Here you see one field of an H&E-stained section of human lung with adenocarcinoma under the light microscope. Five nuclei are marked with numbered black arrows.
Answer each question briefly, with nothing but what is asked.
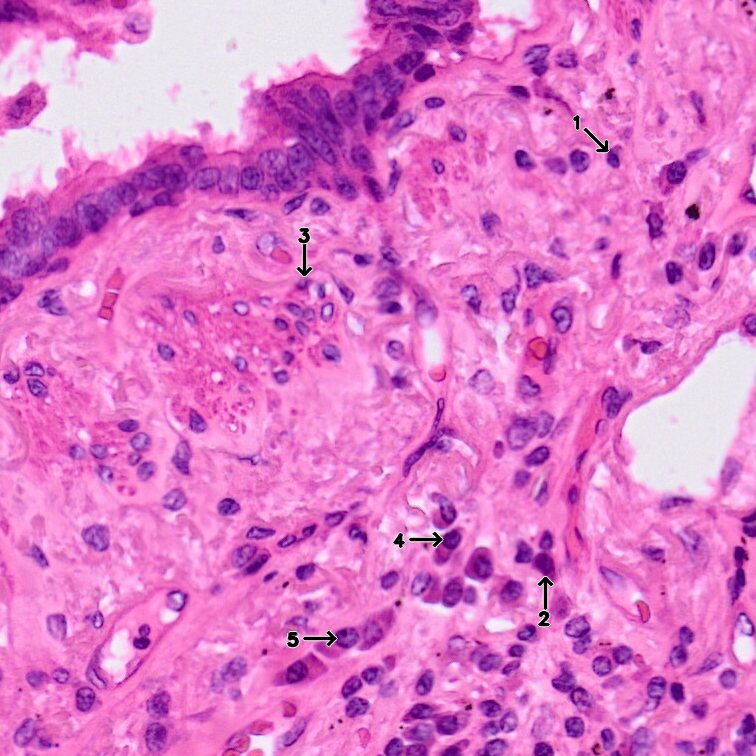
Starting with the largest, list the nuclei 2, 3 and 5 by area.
5, 2, 3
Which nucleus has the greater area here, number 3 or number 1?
1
